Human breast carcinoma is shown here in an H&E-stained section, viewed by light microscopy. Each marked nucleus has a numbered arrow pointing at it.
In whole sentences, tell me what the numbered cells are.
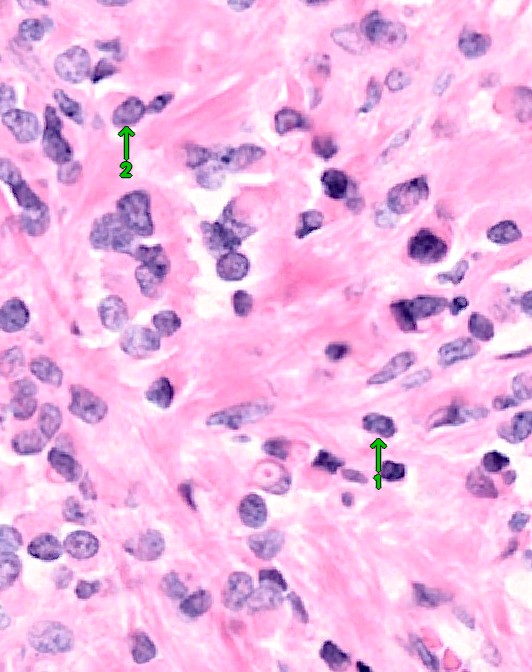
Cell 1 is a lymphocyte and cell 2 is a carcinoma cell.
